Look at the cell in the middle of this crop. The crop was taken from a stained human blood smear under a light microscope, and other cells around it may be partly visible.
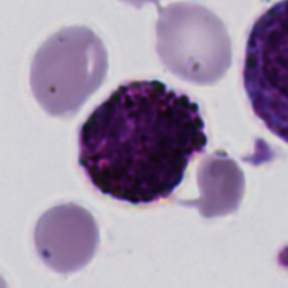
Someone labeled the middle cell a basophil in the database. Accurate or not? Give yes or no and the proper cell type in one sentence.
Yes, the cell centred in the field of view is a basophil.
